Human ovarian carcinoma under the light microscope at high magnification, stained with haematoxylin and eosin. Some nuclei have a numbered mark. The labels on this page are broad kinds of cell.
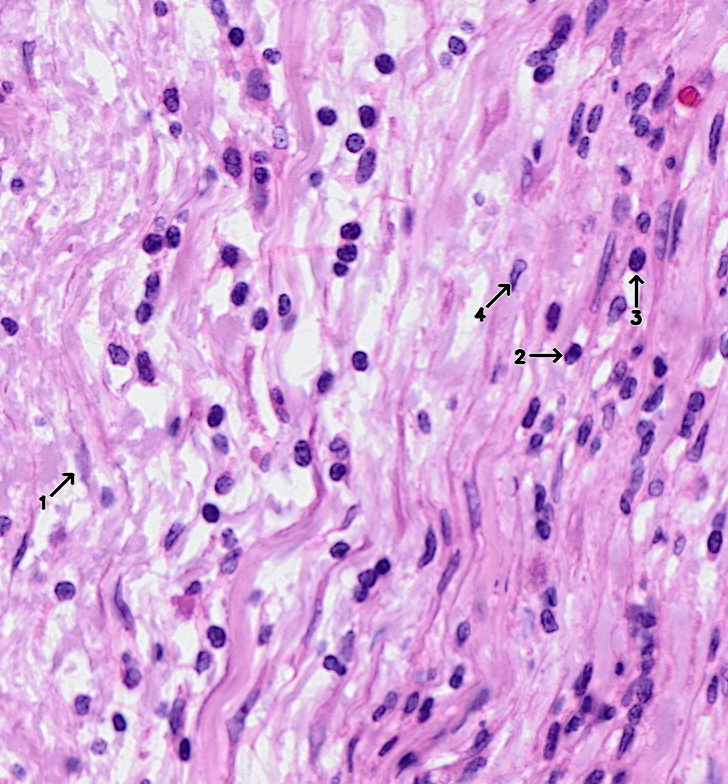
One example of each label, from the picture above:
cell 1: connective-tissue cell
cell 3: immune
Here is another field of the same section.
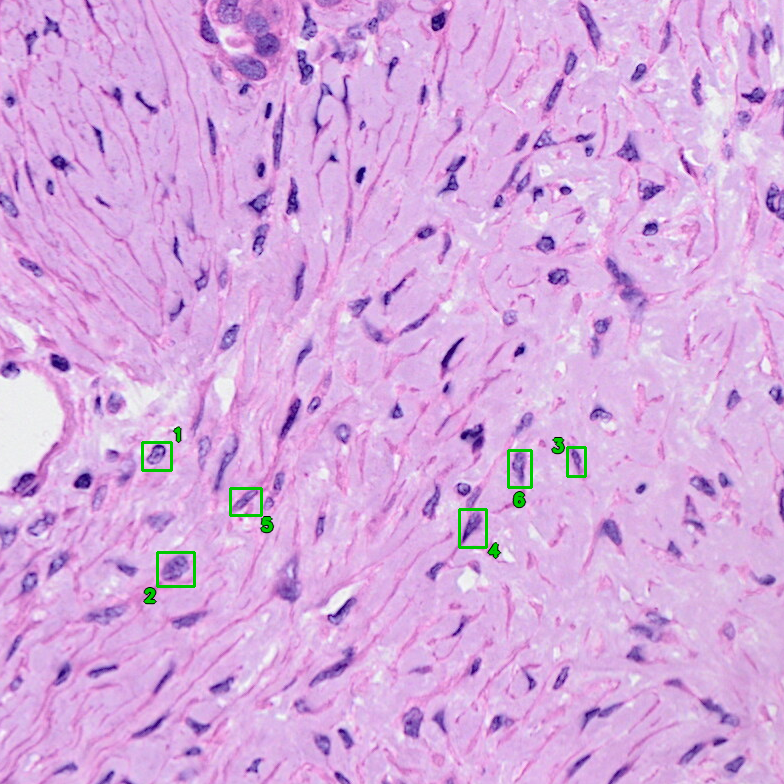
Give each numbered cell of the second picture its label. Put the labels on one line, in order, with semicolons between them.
immune; immune; connective-tissue cell; connective-tissue cell; connective-tissue cell; connective-tissue cell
